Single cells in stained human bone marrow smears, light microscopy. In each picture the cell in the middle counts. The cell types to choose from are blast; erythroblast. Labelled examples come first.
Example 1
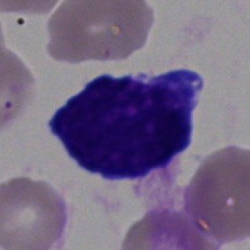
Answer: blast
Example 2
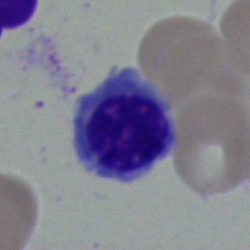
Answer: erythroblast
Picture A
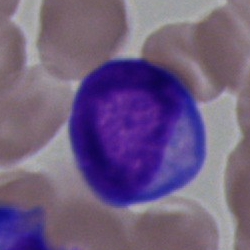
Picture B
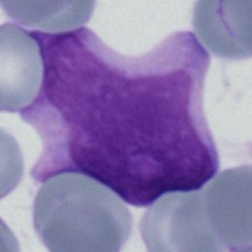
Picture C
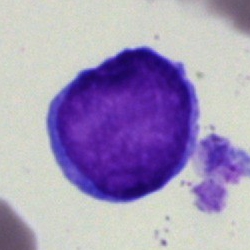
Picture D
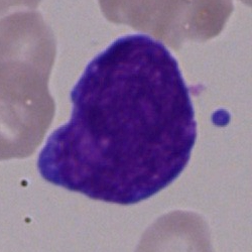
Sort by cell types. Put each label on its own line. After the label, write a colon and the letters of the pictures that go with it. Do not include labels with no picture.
blast: A, B, C, D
